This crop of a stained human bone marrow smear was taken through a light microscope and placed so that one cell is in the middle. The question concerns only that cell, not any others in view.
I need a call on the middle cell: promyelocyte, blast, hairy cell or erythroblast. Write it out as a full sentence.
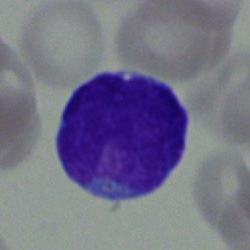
By type, the central cell of the crop is a blast.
